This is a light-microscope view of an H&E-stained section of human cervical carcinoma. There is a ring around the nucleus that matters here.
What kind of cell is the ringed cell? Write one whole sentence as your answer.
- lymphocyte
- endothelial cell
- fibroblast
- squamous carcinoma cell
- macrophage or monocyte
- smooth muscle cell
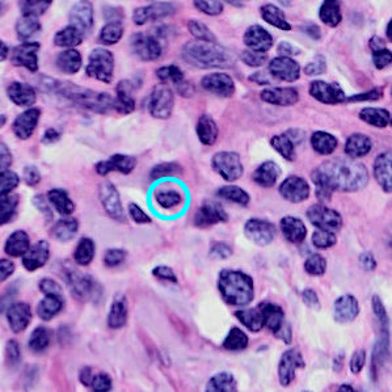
Recorded by type, the ringed cell is a lymphocyte.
